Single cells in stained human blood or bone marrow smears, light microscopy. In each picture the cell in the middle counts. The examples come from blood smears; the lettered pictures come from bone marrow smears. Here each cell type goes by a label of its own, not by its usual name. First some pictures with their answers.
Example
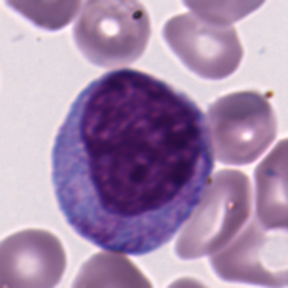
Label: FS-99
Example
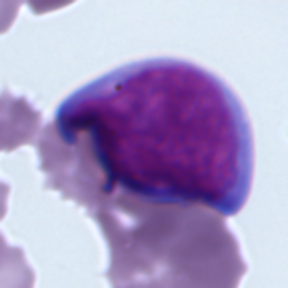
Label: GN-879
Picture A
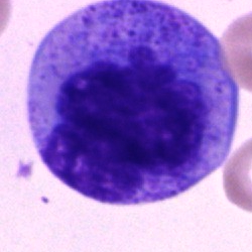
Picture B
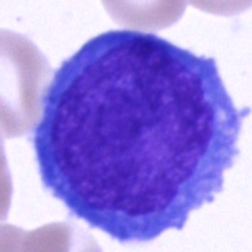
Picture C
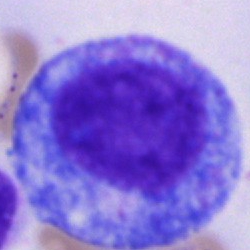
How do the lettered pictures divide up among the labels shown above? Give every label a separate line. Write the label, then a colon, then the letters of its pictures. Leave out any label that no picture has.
FS-99: A, C
GN-879: B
